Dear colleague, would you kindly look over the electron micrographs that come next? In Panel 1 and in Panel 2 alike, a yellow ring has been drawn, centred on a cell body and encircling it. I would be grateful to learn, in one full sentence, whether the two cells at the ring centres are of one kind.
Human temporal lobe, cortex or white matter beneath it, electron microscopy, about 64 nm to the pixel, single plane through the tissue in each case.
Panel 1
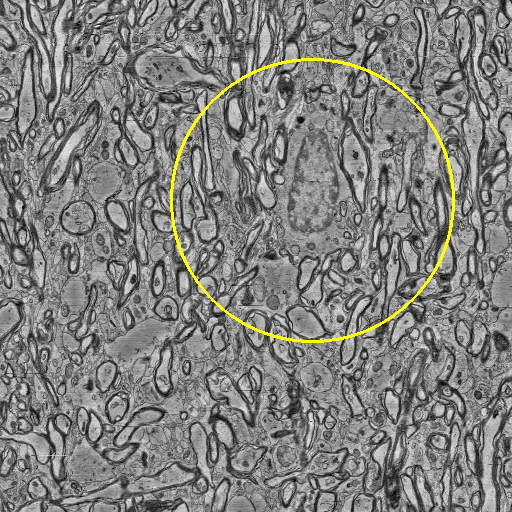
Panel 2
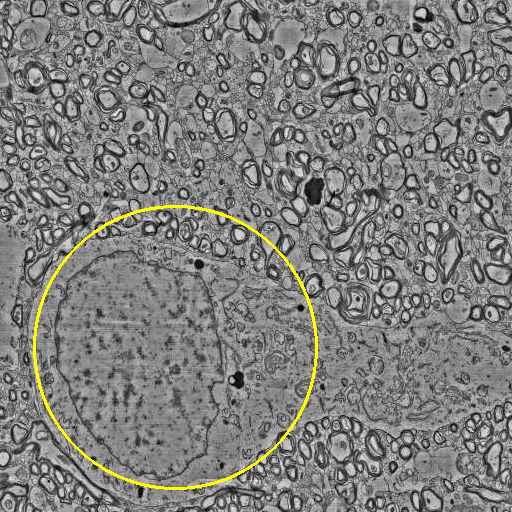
No, the cells in the middle of the rings in the two panels are of two kinds.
